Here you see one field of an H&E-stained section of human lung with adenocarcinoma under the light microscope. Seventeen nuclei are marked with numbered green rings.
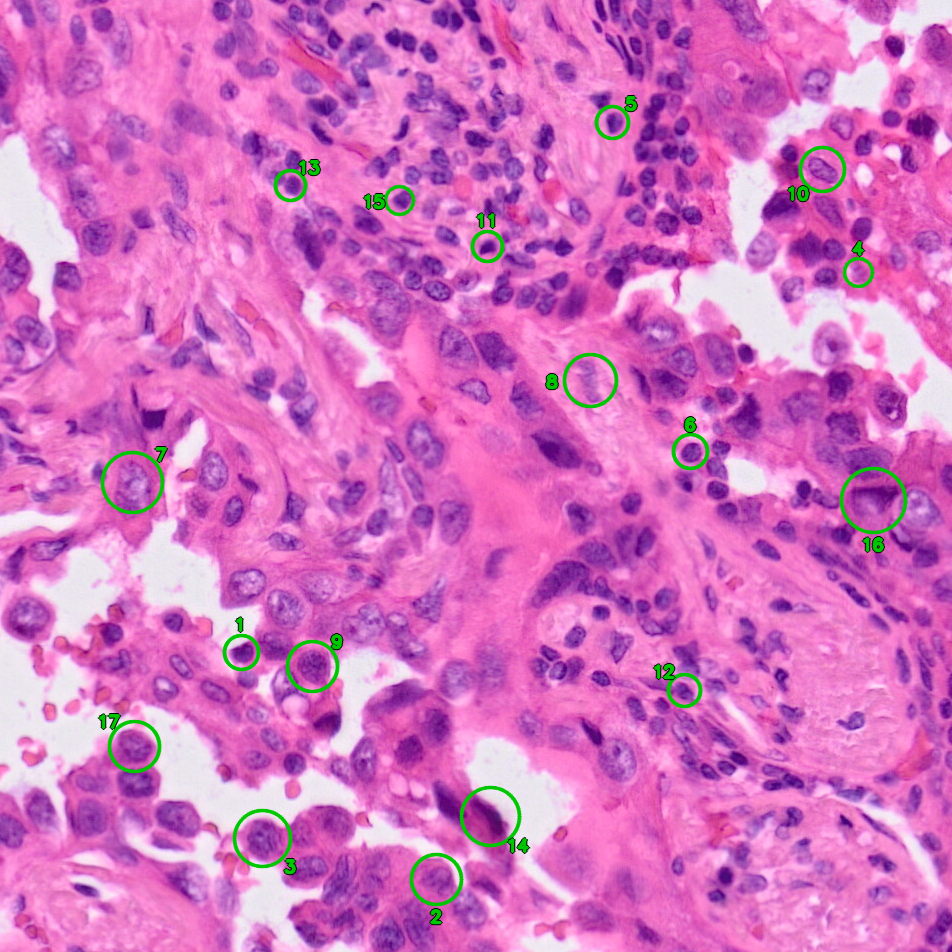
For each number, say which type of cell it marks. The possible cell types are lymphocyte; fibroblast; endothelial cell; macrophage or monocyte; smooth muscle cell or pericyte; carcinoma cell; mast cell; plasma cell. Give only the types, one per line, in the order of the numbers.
lymphocyte
carcinoma cell
carcinoma cell
macrophage or monocyte
lymphocyte
lymphocyte
carcinoma cell
fibroblast
carcinoma cell
macrophage or monocyte
lymphocyte
lymphocyte
lymphocyte
carcinoma cell
lymphocyte
carcinoma cell
carcinoma cell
